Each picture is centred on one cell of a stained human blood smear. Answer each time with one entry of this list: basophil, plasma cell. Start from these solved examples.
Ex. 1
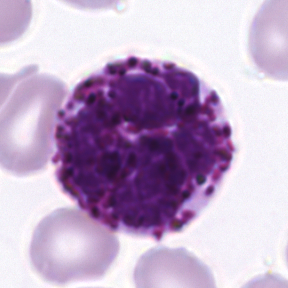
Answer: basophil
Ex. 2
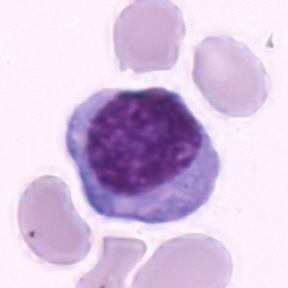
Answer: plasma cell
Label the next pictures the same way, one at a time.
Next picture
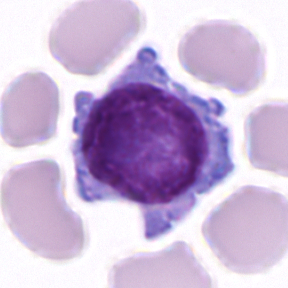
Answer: plasma cell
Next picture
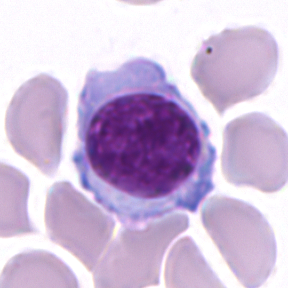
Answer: plasma cell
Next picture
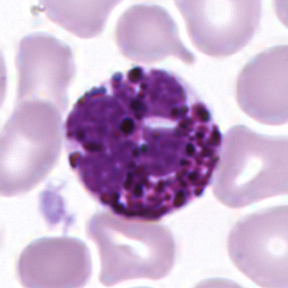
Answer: basophil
